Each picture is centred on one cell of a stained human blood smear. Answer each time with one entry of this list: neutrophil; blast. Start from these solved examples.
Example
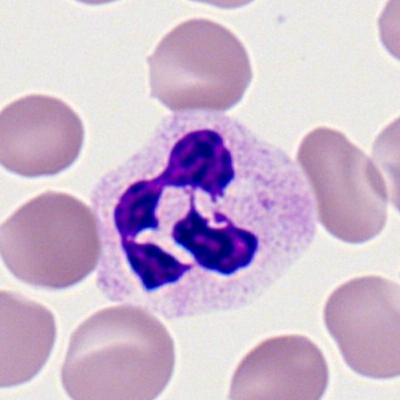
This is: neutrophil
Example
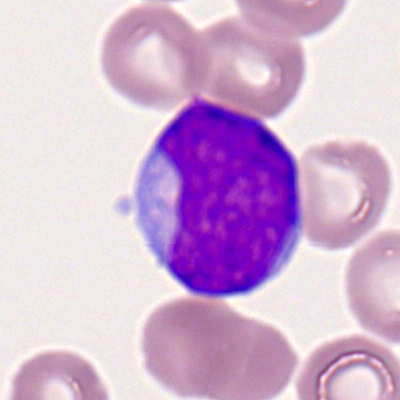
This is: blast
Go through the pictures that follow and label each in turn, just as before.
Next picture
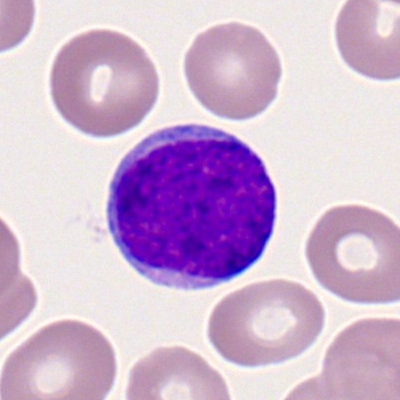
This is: blast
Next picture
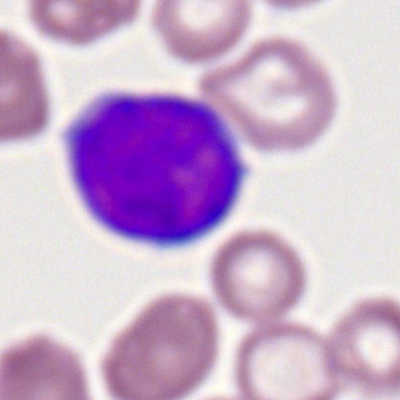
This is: blast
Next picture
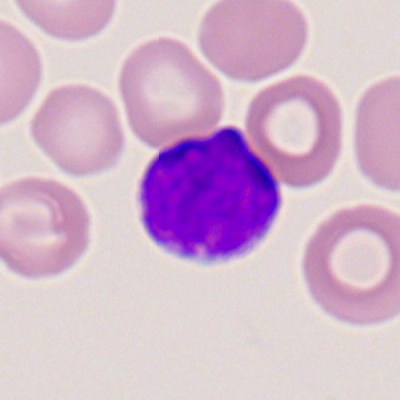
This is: blast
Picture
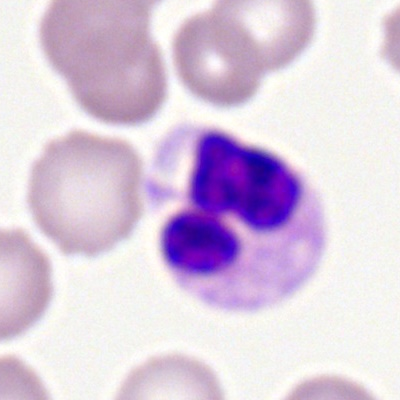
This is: neutrophil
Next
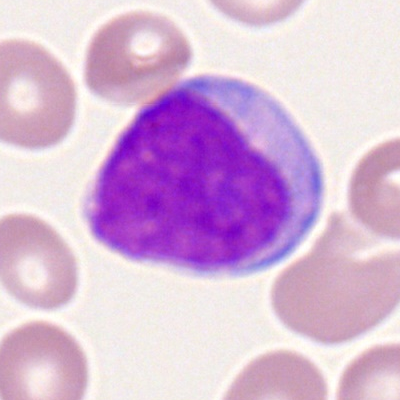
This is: blast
